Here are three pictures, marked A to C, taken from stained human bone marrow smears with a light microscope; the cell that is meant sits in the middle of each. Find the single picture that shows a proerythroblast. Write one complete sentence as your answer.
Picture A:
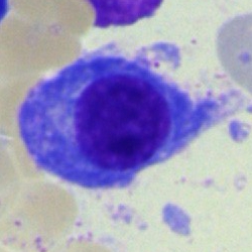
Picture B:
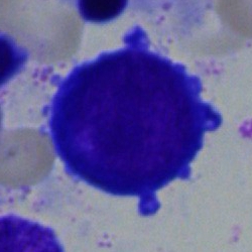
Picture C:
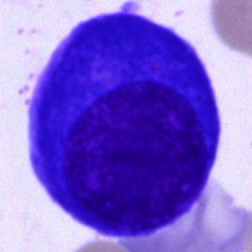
It is picture B that shows the proerythroblast.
